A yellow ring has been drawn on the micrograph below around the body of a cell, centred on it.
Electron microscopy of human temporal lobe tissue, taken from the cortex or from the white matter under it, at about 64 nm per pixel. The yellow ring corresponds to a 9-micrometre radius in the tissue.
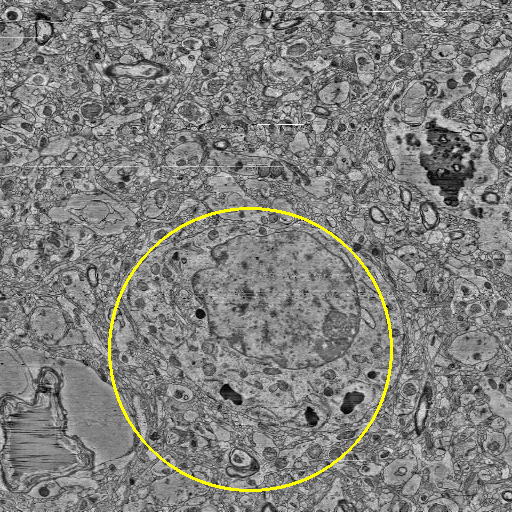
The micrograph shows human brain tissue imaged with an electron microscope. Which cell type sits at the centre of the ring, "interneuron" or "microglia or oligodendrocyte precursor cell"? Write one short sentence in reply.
The cell sitting at the centre of the ring is an interneuron.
